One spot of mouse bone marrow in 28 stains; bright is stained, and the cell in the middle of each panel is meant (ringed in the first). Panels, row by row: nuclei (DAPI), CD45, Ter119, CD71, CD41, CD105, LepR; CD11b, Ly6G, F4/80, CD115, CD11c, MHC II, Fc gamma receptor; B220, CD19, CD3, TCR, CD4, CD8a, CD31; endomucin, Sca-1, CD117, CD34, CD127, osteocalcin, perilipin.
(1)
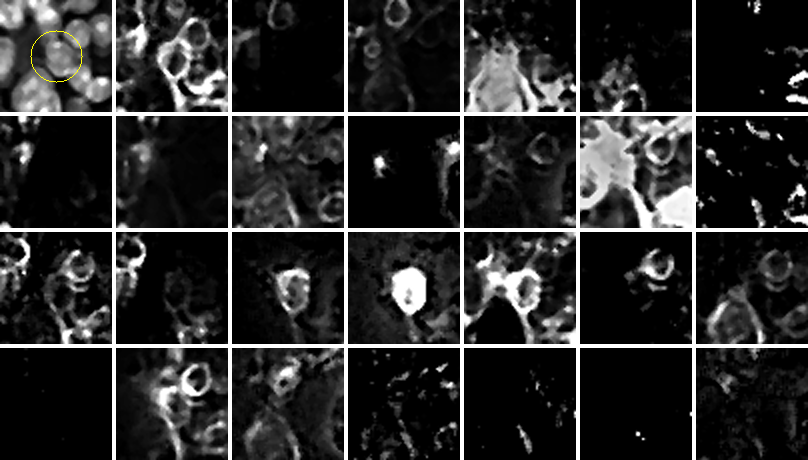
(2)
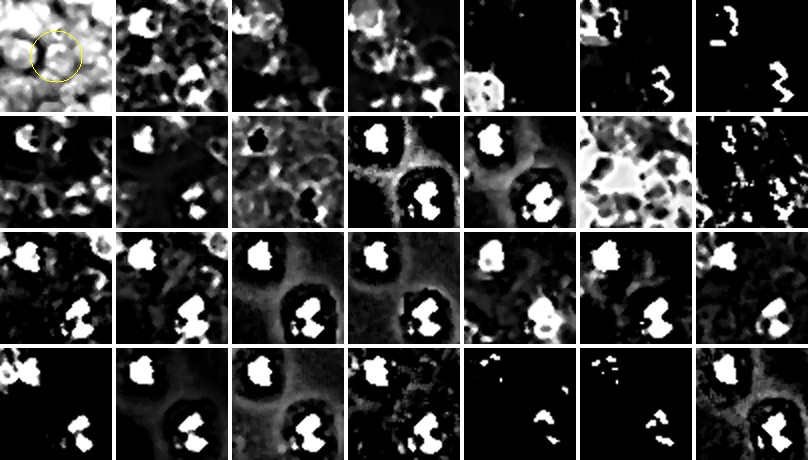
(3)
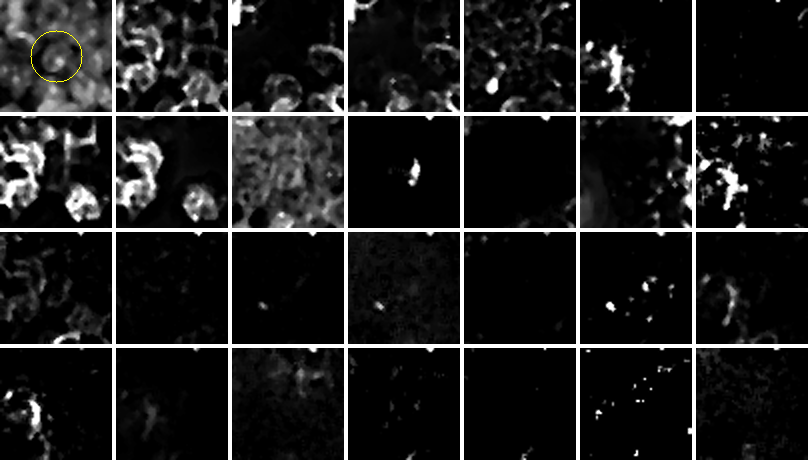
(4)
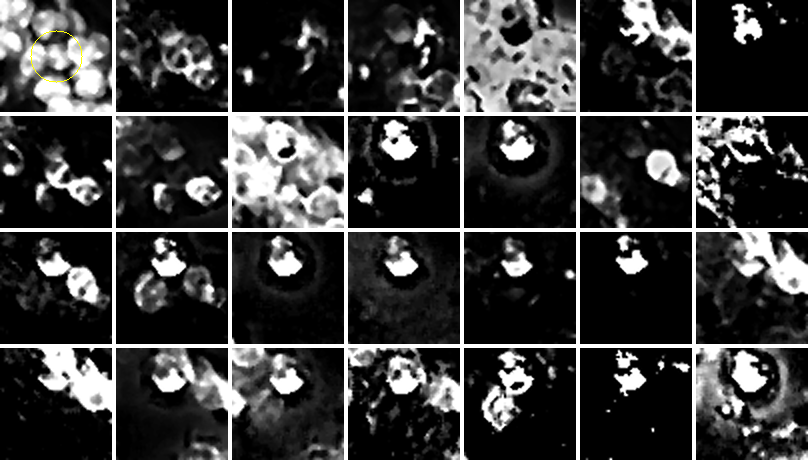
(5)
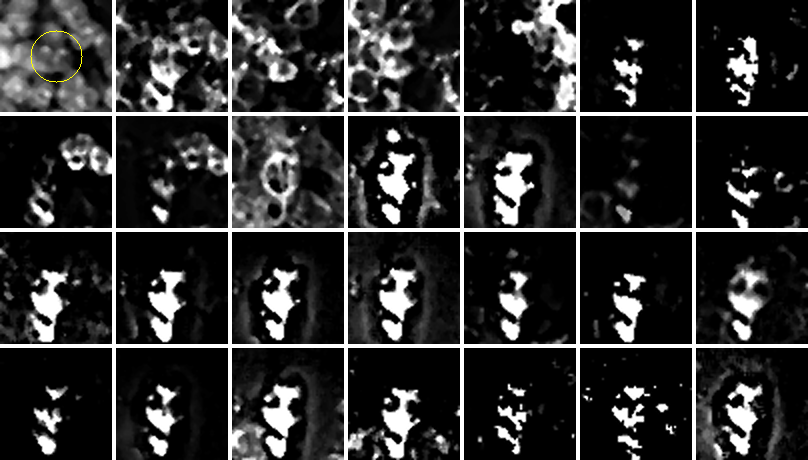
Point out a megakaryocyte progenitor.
That is picture 4.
